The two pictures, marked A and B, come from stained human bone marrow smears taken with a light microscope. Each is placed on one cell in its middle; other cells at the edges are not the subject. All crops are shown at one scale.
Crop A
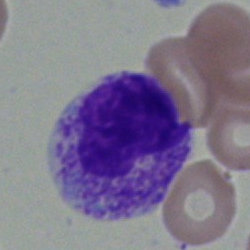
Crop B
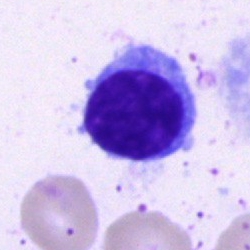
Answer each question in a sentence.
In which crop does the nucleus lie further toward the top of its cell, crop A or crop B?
The nucleus in crop A lies further toward the top of its cell.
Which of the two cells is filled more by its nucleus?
In crop B the nucleus takes up the larger part of its cell.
